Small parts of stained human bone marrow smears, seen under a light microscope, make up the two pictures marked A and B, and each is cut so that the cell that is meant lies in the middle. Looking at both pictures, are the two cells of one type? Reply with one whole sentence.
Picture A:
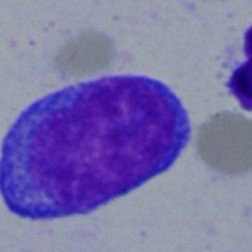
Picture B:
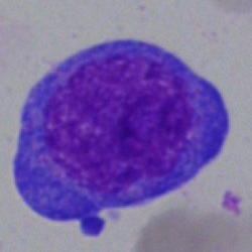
Yes, the two pictures both show blasts.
